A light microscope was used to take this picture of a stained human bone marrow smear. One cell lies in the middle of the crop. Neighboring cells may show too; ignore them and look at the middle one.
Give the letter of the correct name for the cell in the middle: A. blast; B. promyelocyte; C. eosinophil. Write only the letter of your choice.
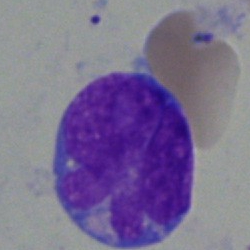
A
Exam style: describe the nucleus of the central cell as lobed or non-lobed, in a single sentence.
The key feature is a nucleus with multiple lobes.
